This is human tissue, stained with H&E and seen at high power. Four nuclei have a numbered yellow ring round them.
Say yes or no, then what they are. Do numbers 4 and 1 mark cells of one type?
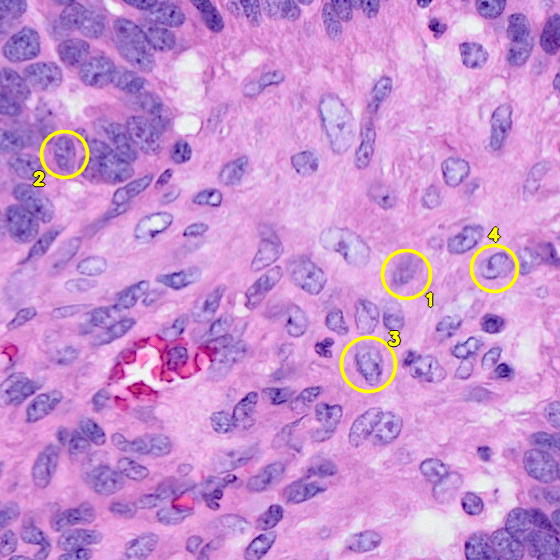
Yes, as for cells 4 and 1, both are fibroblasts.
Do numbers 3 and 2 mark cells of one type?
No, the cell numbered 3 is a fibroblast, and the cell numbered 2 is a carcinoma cell.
